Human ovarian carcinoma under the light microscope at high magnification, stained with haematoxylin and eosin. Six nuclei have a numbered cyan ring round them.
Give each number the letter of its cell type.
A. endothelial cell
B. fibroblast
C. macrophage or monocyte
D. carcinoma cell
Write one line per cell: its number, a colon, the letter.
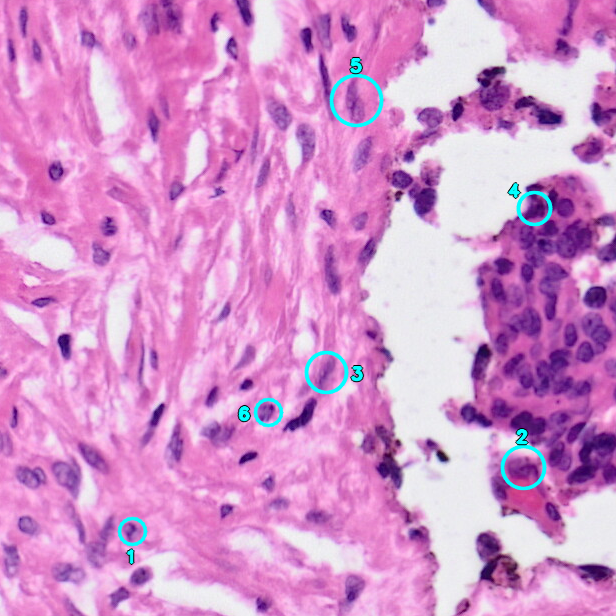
1: B
2: A
3: B
4: D
5: B
6: B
